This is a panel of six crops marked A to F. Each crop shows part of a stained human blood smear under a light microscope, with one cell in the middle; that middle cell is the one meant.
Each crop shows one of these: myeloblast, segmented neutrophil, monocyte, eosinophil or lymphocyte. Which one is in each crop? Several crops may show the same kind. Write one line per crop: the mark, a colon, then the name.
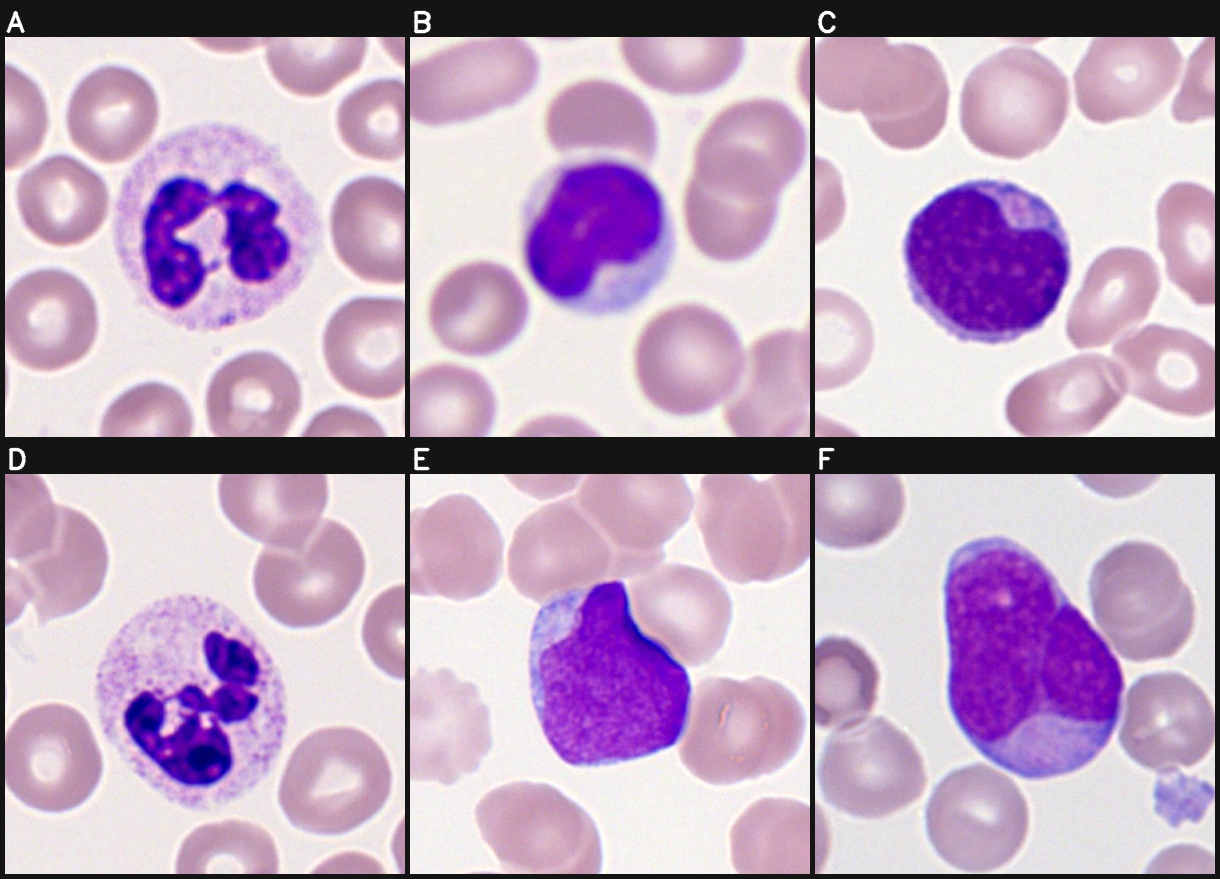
A: segmented neutrophil
B: lymphocyte
C: myeloblast
D: segmented neutrophil
E: myeloblast
F: myeloblast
